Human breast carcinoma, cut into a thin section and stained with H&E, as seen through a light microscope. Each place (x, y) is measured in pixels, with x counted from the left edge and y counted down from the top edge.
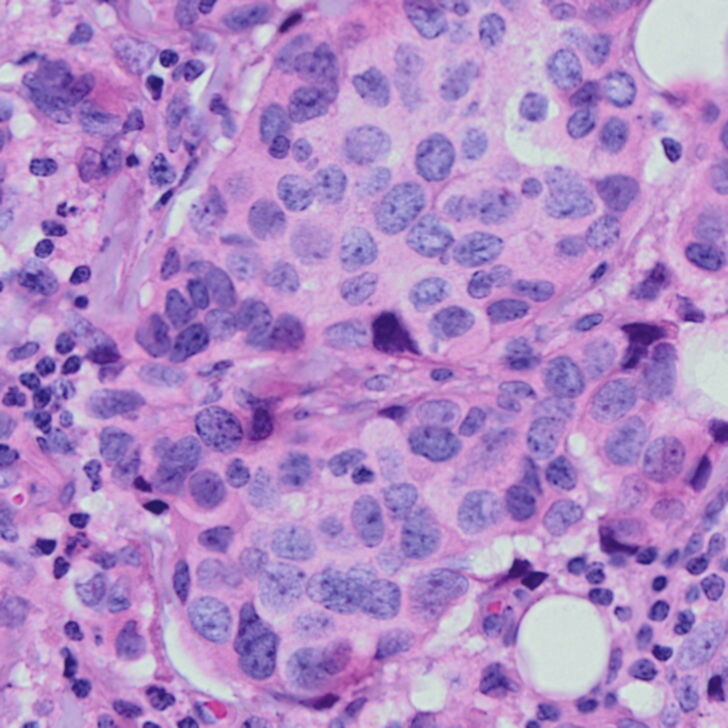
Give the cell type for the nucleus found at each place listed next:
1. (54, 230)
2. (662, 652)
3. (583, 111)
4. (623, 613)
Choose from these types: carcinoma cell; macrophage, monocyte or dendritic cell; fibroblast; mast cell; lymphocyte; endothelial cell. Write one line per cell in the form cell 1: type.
cell 1: lymphocyte
cell 2: lymphocyte
cell 3: carcinoma cell
cell 4: lymphocyte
